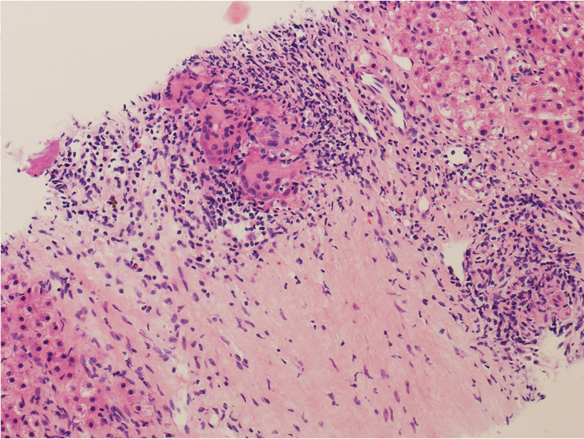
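Pink polygonal liver cells with round nuclei sit at the upper right and lower left, and a band of pale pink fibrous tissue with spindle-shaped nuclei runs between them. In the upper middle, rounded clusters of pale pink cells with oval nuclei form compact nodules. Dense sheets of small, dark, round-nucleated inflammatory cells surround these nodules, and some larger pink cells with several nuclei lie among the clustered cells. These nodules are epithelioid granulomas with a multinucleated giant cell reaction set in inflamed, fibrotic liver.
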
